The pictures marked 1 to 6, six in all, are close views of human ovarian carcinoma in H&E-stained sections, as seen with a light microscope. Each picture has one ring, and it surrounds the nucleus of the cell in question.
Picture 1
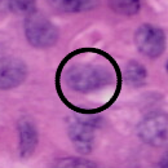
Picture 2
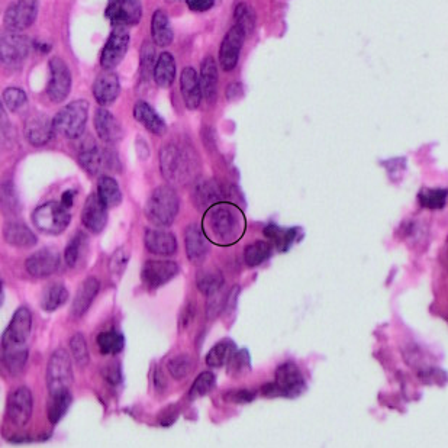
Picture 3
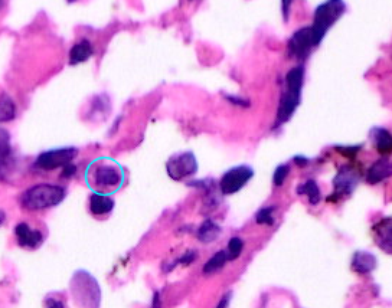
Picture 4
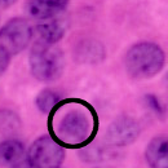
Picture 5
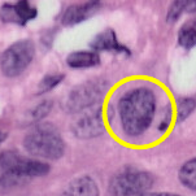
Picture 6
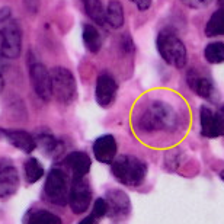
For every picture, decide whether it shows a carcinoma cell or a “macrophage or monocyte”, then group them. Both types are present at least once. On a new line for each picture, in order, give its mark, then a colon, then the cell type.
1: carcinoma cell
2: carcinoma cell
3: macrophage or monocyte
4: carcinoma cell
5: carcinoma cell
6: macrophage or monocyte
